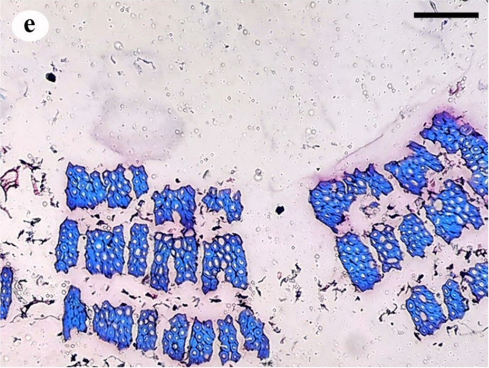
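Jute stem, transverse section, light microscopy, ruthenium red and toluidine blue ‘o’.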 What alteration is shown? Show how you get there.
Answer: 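Without any cementing material. Blue thick-walled cell bundles lie separated by empty space. No pink thin-walled tissue remains between the bundles.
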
